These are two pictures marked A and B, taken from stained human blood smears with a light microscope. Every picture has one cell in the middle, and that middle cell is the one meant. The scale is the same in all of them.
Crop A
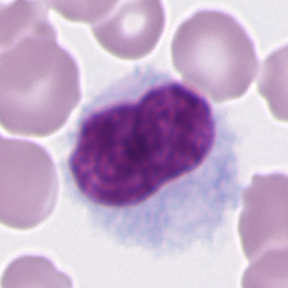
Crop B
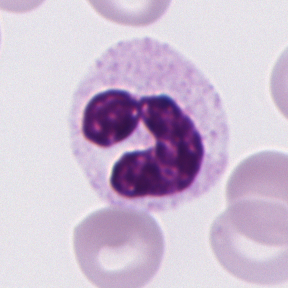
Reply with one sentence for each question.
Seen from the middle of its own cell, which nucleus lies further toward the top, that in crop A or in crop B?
Seen within its cell, the nucleus in crop A lies further toward the top.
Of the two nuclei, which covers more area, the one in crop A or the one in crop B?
The nucleus in crop A is larger, with about 1.5 times the area of the one in crop B.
